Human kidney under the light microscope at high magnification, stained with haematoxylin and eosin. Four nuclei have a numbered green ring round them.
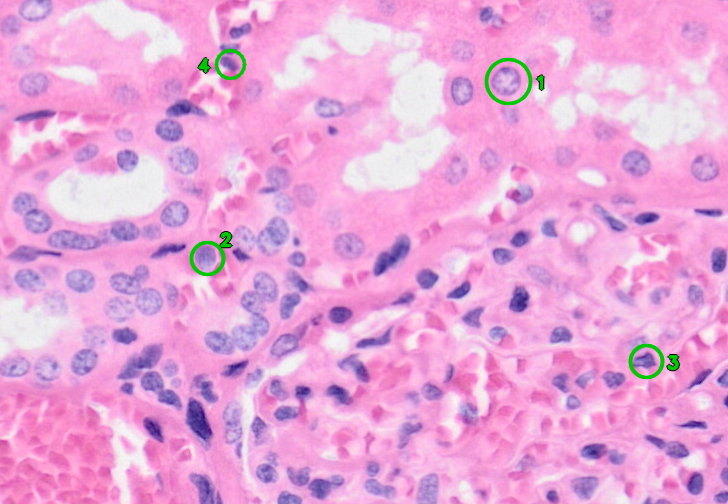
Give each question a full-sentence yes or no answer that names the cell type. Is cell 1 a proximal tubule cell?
Yes, the cell that number 1 points to is a proximal tubule cell.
